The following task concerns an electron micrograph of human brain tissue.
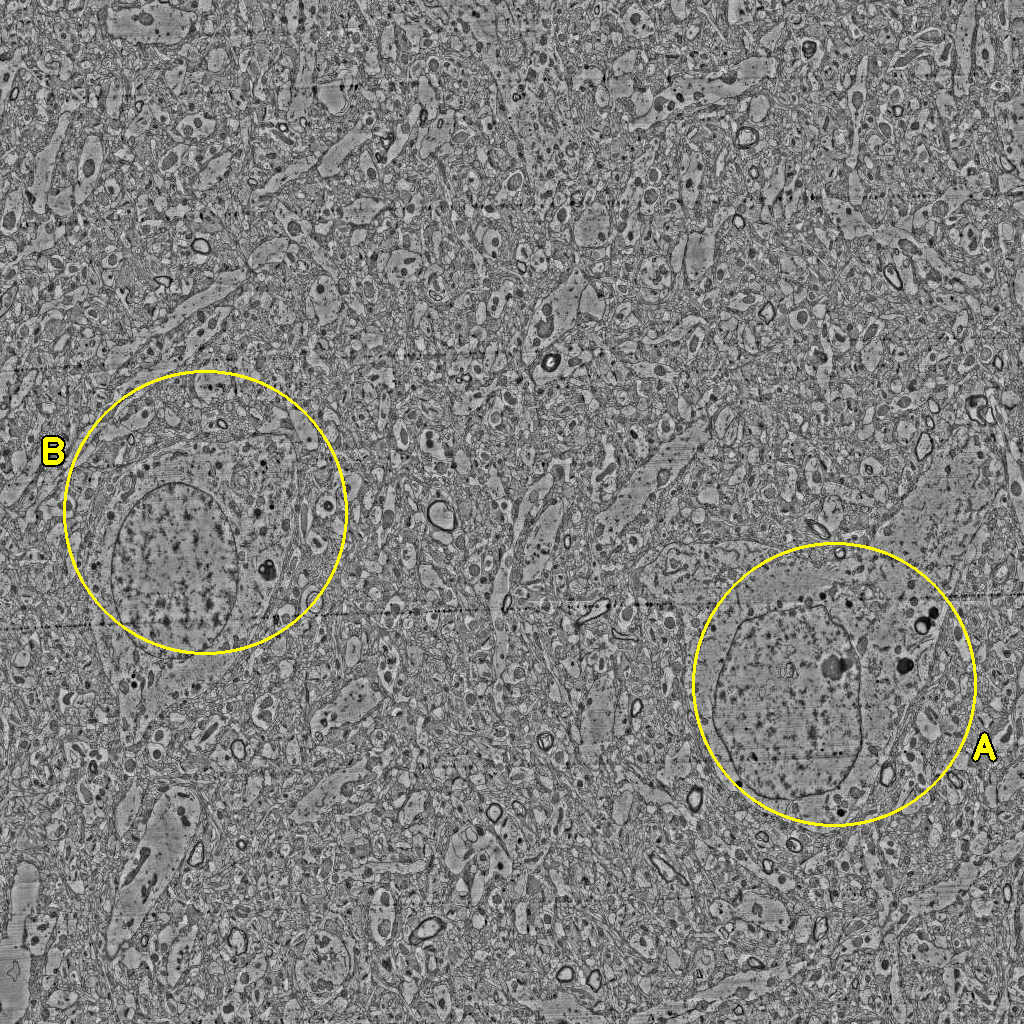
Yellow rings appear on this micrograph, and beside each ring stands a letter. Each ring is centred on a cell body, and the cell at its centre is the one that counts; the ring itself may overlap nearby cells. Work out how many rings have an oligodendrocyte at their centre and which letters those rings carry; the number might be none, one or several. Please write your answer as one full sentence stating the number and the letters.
Among the lettered rings, none has an oligodendrocyte at its centre, which makes the tally zero.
